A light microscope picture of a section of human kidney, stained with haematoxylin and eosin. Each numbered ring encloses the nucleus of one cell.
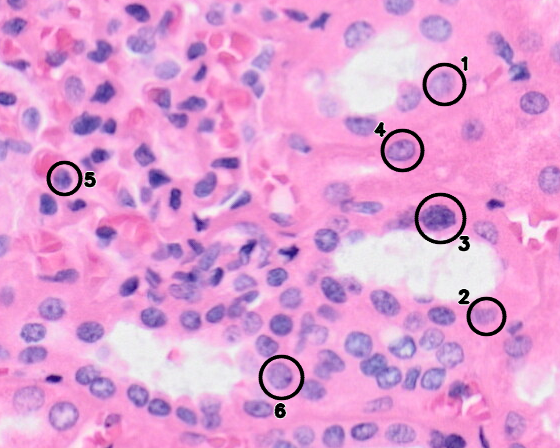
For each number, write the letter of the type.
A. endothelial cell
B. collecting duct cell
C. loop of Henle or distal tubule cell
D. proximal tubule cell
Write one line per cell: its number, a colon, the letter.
1: C
2: C
3: C
4: D
5: A
6: C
